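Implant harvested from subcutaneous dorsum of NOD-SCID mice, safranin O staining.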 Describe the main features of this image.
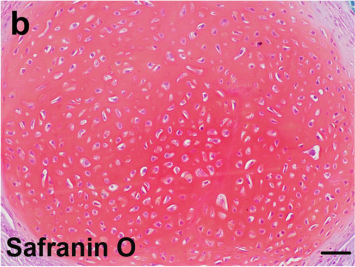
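This is cartilage made of chondrocytes, rounded to oval cells each lying in a clear lacuna within an abundant, homogeneous matrix that stains intensely red. The cells are scattered fairly evenly throughout, without vessels, and at the edges the tissue passes into a thin pale fibrous border.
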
